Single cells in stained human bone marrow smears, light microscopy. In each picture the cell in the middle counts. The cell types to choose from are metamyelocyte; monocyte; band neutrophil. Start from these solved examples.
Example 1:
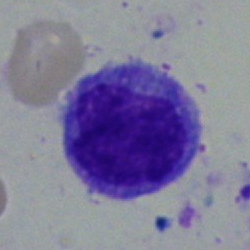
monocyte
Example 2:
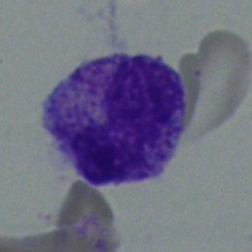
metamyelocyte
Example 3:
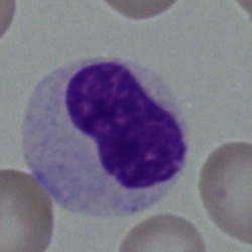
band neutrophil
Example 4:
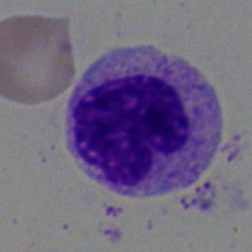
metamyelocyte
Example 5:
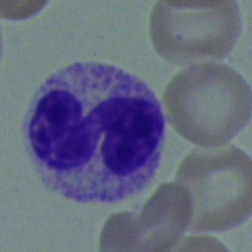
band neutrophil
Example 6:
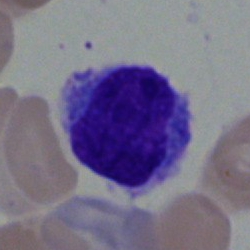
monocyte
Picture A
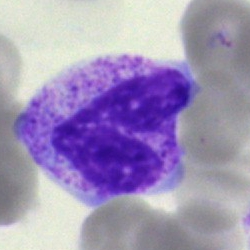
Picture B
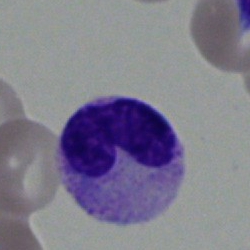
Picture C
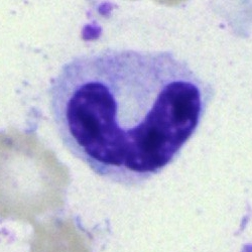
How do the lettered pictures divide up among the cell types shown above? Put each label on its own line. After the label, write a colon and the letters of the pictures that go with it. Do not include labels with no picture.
band neutrophil: A, B, C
